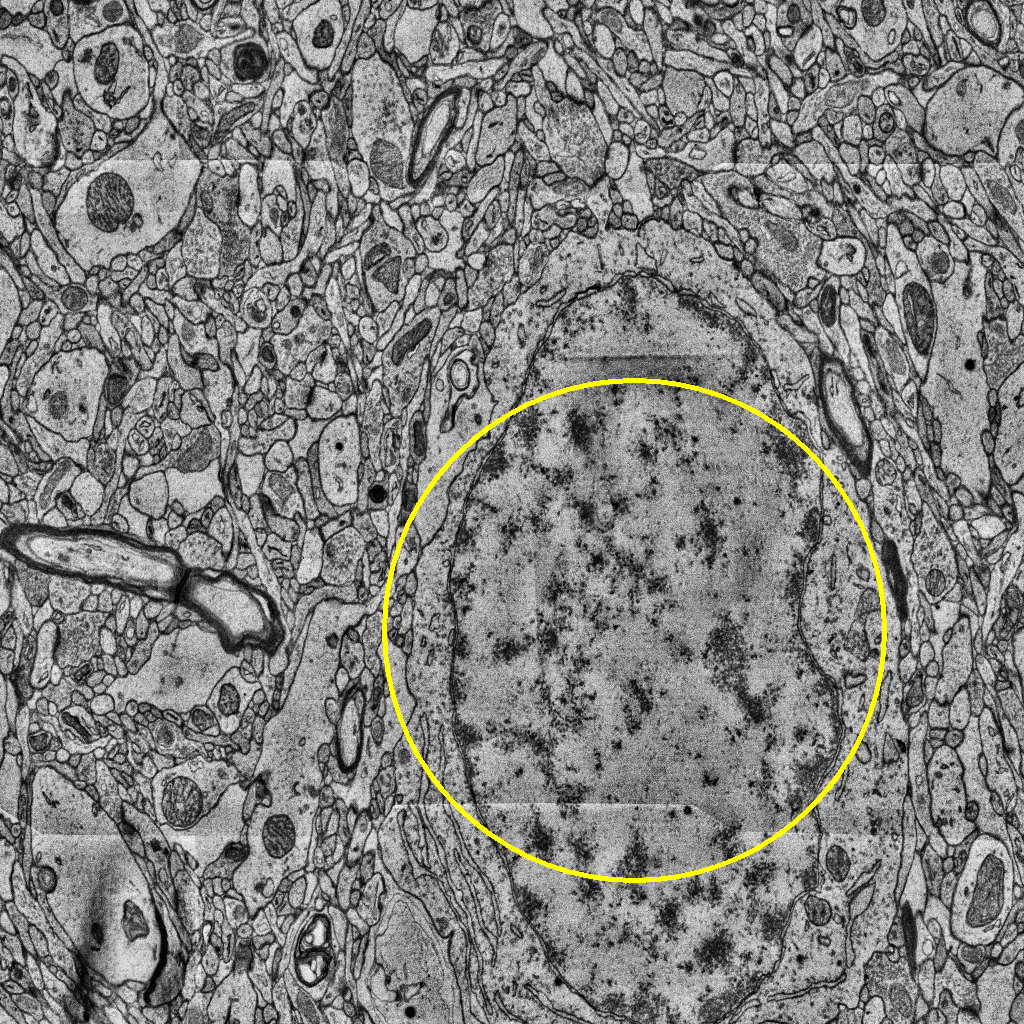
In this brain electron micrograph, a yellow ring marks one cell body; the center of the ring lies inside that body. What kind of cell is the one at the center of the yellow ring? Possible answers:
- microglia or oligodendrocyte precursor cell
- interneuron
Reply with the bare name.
interneuron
